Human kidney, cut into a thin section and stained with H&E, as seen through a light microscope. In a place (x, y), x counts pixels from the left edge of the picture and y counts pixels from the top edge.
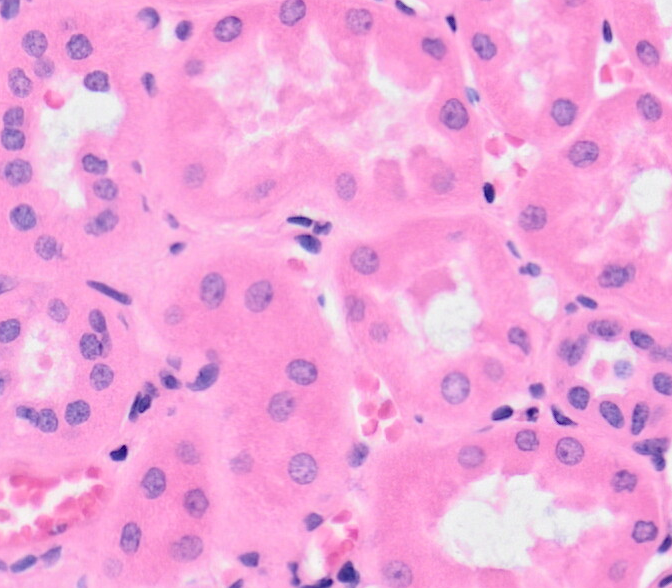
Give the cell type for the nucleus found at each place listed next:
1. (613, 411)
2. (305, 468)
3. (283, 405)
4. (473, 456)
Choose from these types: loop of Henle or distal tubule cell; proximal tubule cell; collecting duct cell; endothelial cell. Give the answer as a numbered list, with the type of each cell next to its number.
1. collecting duct cell
2. proximal tubule cell
3. proximal tubule cell
4. proximal tubule cell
